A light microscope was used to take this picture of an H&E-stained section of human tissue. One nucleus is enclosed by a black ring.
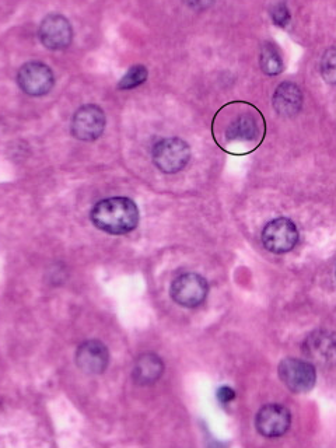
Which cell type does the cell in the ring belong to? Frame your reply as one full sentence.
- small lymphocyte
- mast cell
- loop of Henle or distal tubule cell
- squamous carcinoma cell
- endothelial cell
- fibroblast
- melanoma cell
By cell type, the cell in the ring is an endothelial cell.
